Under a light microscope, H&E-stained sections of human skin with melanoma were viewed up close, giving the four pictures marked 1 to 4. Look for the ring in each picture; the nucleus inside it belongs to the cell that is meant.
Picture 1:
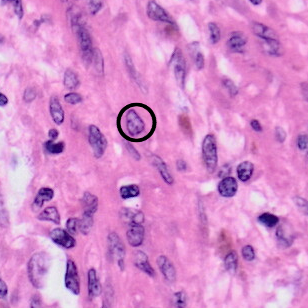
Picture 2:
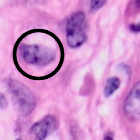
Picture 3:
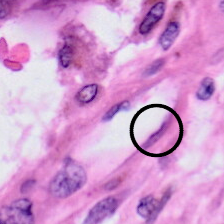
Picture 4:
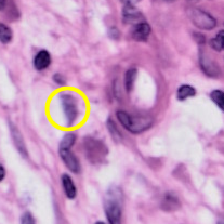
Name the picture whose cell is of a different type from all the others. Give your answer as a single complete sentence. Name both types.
The different one is picture 4; it shows a “fibroblast or myofibroblast”, whereas all the others show endothelial cells.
